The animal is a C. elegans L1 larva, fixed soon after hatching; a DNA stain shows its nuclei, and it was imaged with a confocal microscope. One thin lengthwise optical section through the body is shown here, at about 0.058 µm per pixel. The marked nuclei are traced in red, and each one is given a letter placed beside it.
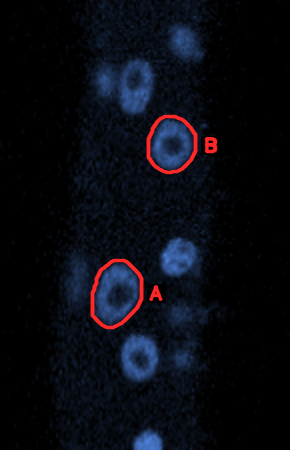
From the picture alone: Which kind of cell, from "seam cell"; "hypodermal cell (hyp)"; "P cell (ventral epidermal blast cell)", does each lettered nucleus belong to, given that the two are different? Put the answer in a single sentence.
B belongs to a seam cell, and A to a hypodermal cell (hyp).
